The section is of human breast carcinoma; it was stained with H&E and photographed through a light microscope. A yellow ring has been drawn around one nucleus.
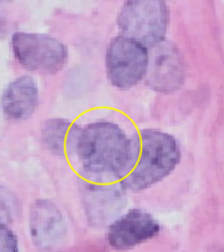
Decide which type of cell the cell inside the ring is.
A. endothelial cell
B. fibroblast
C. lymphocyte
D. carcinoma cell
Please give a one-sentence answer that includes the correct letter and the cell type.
Option D stands as correct, with the cell inside the ring being a carcinoma cell.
